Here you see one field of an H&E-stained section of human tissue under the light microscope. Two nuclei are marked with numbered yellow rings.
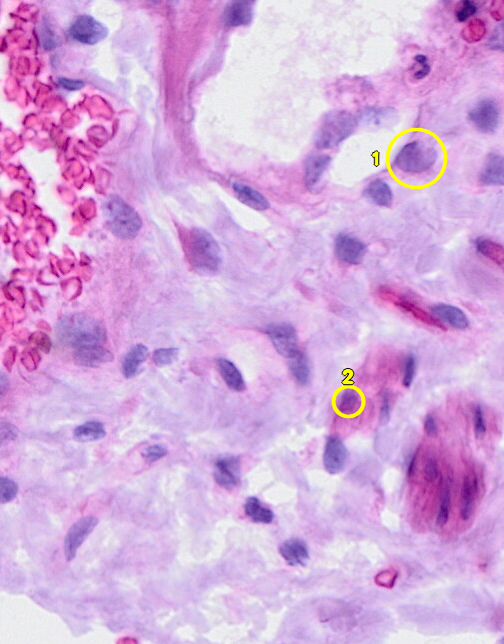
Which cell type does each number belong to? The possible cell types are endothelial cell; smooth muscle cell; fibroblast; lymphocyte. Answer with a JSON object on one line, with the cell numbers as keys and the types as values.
{"1": "fibroblast", "2": "smooth muscle cell"}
